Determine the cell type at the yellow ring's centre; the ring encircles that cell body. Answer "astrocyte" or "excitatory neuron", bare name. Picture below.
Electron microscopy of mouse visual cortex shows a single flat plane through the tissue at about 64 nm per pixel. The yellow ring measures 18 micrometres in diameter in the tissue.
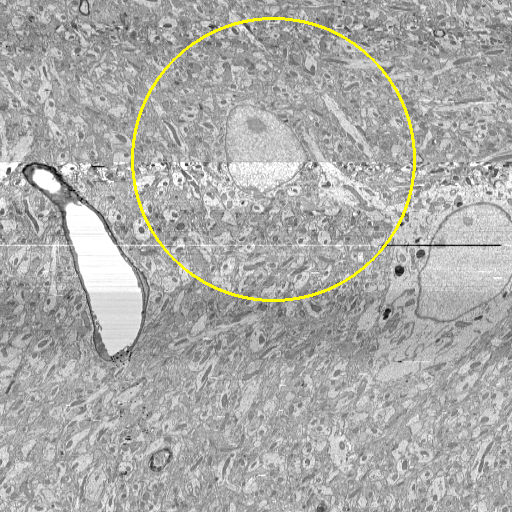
astrocyte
